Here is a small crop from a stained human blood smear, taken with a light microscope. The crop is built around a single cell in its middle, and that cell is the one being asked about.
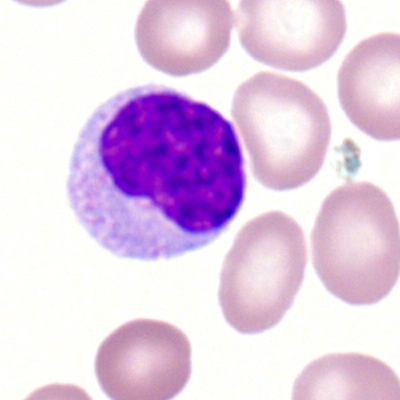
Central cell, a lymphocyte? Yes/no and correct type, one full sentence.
Yes, a lymphocyte occupies the middle of the crop.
